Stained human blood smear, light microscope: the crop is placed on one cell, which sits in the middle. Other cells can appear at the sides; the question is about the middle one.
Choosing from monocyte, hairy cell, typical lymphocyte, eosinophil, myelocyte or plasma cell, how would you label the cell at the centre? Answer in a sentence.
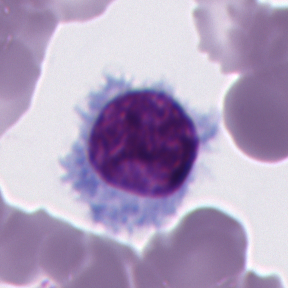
The cell centred in this crop is categorized as a hairy cell.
